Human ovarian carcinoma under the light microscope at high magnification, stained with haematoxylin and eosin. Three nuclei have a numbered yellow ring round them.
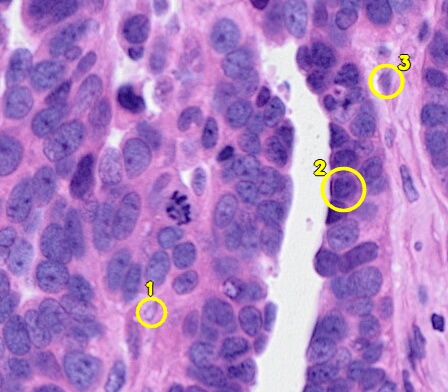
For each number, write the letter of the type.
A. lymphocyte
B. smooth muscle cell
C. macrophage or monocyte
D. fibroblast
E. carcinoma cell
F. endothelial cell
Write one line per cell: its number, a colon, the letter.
1: D
2: E
3: D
